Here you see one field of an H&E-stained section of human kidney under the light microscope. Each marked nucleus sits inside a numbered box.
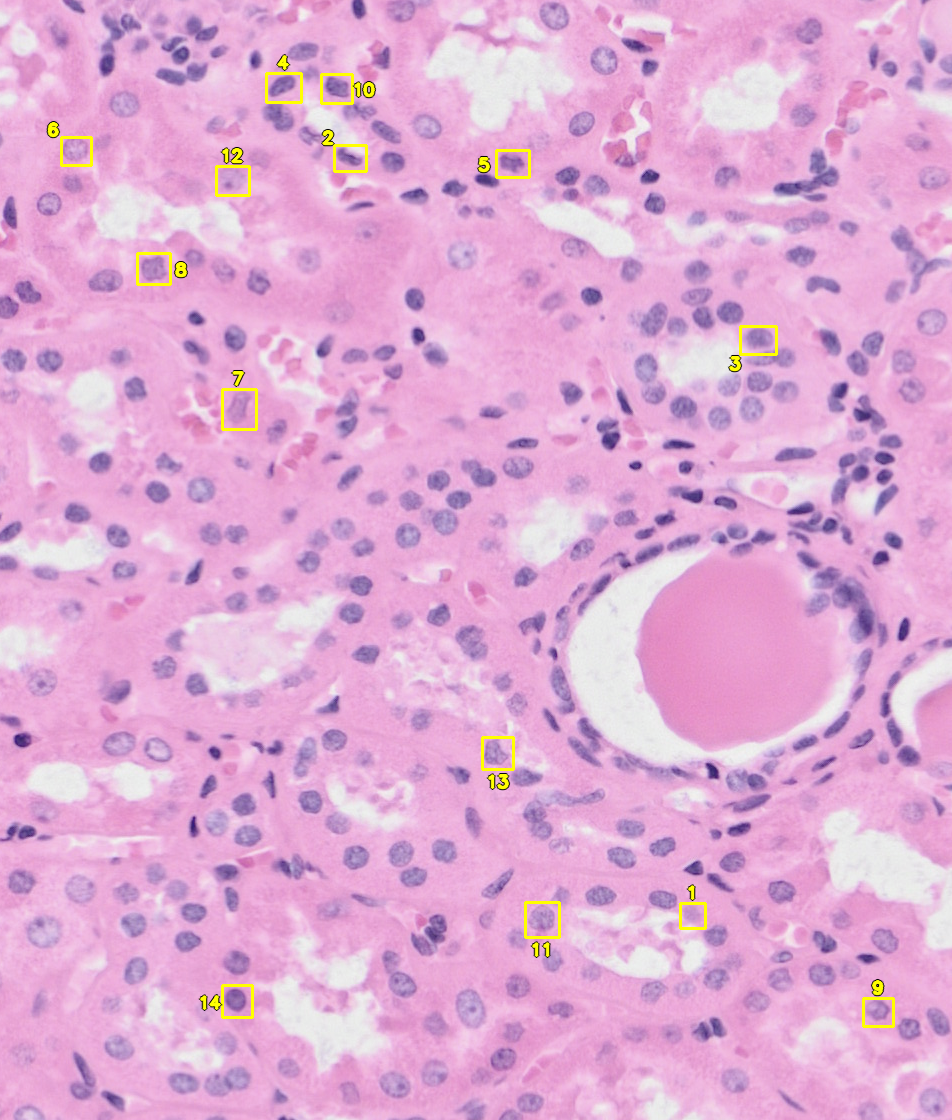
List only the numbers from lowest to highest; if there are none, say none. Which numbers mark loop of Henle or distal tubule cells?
1, 11, 13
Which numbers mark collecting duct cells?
2, 3, 4, 10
